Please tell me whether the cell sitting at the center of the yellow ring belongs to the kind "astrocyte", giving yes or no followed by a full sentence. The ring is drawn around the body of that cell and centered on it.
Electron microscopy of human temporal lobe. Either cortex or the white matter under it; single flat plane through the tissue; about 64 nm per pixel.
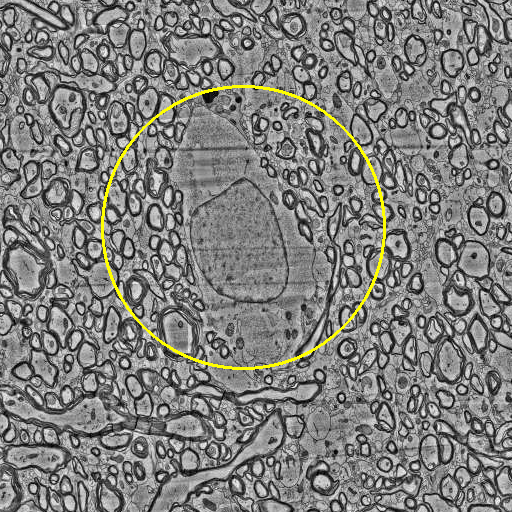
Yes, the cell at the center of the ring in the picture is of that kind.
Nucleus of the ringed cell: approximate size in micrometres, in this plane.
In this plane, about 8 micrometres in length and 6 in width.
